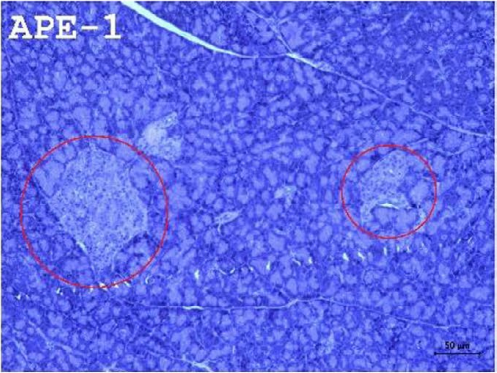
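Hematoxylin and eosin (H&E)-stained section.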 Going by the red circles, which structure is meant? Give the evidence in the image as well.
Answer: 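Each circle encloses a paler region of cells among dark acini. The left circled region is larger than the right one.
Islets of Langerhans.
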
